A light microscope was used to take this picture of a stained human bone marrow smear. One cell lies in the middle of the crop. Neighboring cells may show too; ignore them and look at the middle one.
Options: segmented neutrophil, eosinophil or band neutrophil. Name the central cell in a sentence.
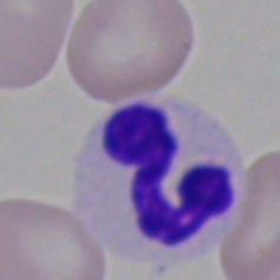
The cell found in the middle of this crop is a segmented neutrophil.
